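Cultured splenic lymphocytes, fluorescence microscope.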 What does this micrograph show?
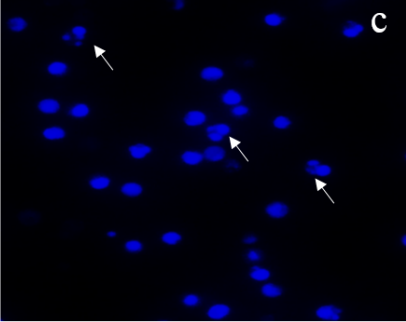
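Most are small, round to oval and evenly stained. A few nuclei, marked by arrows, look broken into two or more small pieces, which fits the nuclear fragmentation of apoptosis. Some faint, dim blue specks lie between the intact nuclei.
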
